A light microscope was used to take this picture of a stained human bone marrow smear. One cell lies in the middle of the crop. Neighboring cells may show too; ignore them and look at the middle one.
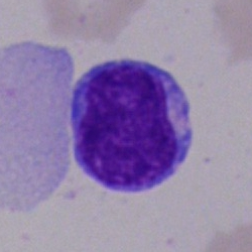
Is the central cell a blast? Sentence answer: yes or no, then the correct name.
Yes, the cell of interest in the middle is a blast.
